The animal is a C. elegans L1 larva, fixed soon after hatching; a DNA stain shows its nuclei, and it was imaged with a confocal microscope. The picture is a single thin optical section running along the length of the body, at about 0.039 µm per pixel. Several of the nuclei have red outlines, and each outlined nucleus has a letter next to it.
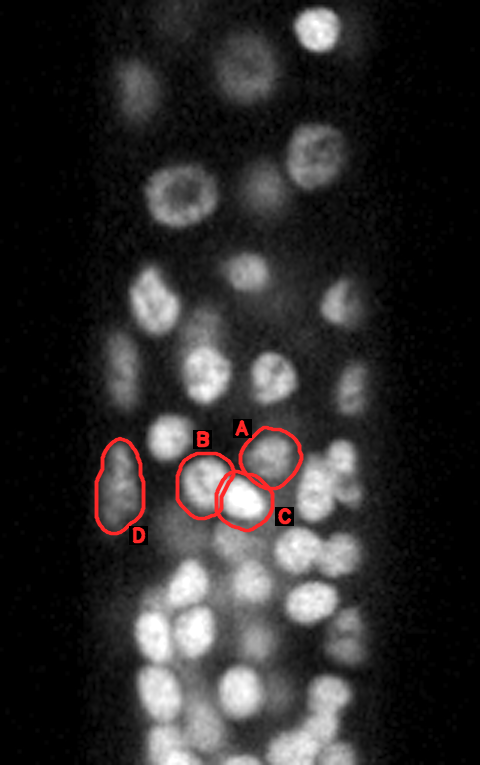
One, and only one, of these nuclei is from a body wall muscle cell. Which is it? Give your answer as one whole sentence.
D is from a body wall muscle cell.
